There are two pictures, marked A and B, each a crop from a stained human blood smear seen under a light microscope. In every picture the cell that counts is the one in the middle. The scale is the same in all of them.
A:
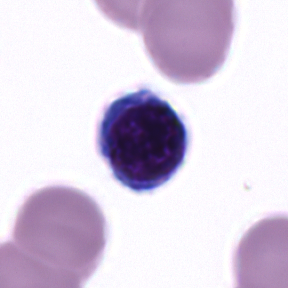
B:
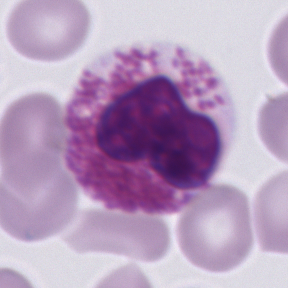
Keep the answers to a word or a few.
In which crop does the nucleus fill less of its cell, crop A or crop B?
B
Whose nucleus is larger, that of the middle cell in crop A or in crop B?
B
